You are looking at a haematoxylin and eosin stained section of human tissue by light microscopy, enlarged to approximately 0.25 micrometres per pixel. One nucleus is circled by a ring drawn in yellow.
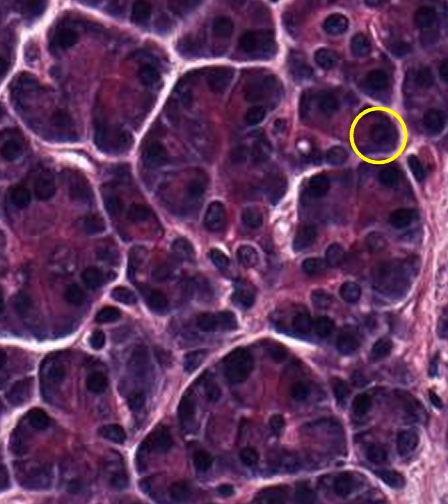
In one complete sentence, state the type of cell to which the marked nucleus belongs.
The mark in this picture falls on the nucleus of a pancreatic acinar cell.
